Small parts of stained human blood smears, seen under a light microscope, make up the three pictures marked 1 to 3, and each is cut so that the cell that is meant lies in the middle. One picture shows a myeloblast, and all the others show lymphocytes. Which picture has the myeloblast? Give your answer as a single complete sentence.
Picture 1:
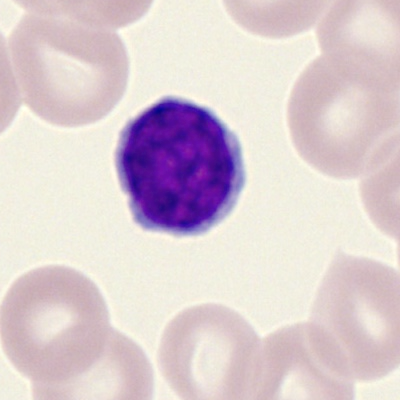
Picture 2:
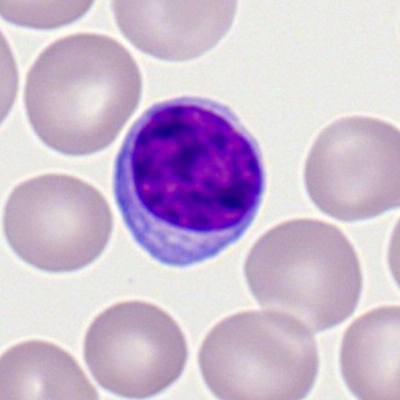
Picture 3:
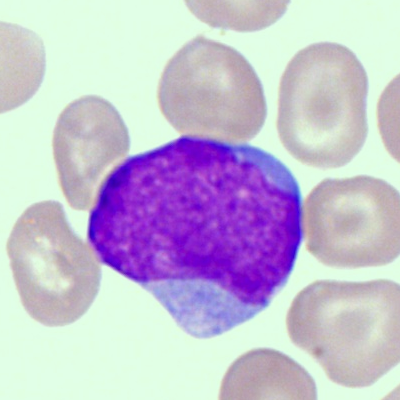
It is picture 3 that shows the myeloblast.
